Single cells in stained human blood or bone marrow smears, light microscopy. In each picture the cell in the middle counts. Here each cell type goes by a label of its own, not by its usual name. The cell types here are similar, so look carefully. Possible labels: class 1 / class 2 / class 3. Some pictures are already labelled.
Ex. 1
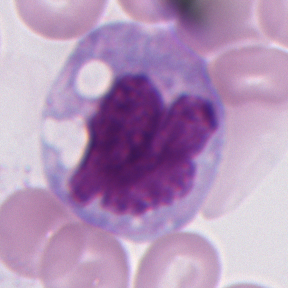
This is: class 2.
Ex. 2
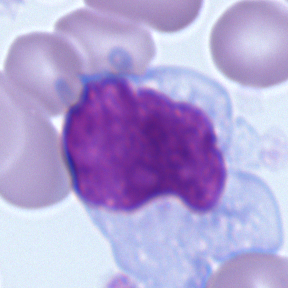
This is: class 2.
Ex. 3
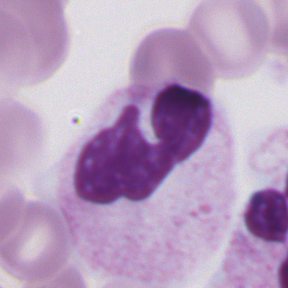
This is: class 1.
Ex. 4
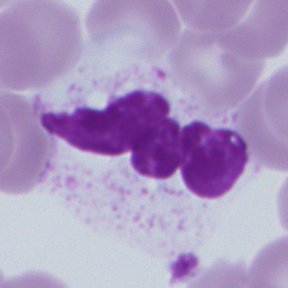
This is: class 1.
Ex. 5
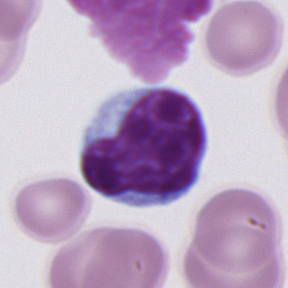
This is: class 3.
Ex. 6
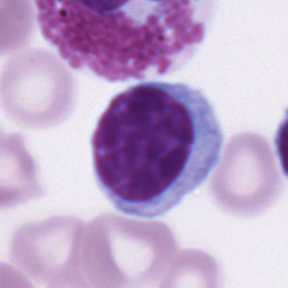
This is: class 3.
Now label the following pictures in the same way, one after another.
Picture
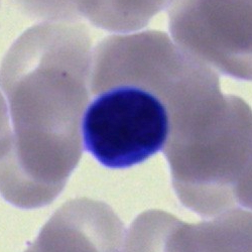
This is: class 3.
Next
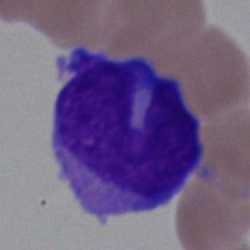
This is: class 2.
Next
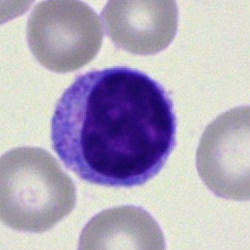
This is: class 3.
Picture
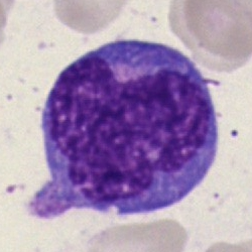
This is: class 2.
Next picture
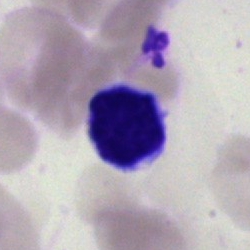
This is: class 3.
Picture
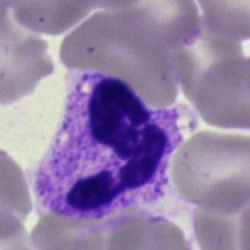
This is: class 1.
